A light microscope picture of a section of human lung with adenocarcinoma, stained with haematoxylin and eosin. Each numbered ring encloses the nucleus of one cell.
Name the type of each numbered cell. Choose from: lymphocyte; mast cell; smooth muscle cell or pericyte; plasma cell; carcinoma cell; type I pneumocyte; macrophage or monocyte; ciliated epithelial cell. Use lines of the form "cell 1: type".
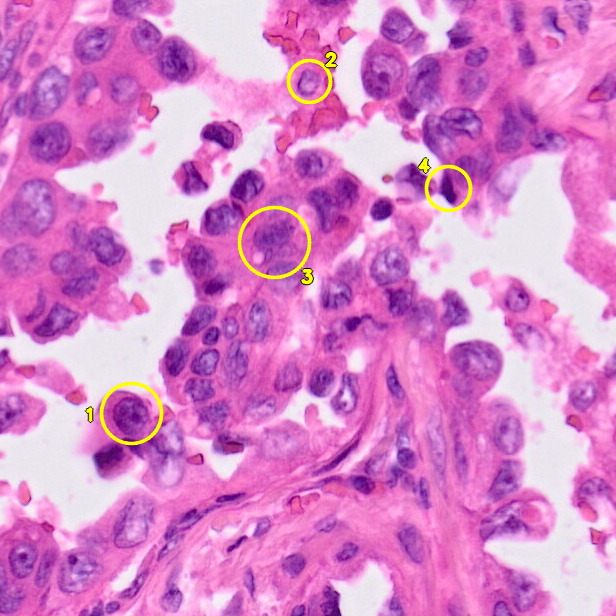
cell 1: carcinoma cell
cell 2: macrophage or monocyte
cell 3: carcinoma cell
cell 4: carcinoma cell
